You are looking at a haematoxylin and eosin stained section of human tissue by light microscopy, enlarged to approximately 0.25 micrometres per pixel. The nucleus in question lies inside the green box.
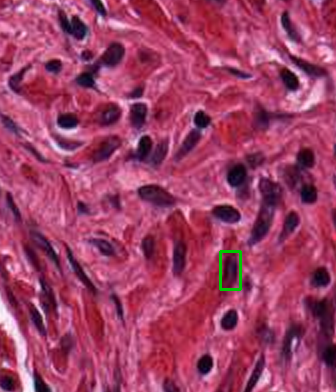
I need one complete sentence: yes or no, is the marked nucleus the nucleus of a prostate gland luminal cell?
No, it is not a prostate gland luminal cell to which the marked nucleus belongs.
